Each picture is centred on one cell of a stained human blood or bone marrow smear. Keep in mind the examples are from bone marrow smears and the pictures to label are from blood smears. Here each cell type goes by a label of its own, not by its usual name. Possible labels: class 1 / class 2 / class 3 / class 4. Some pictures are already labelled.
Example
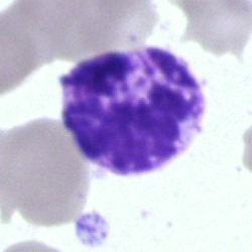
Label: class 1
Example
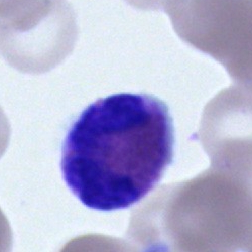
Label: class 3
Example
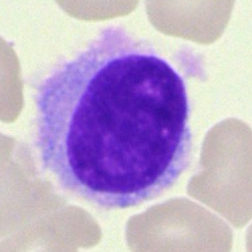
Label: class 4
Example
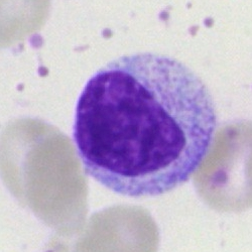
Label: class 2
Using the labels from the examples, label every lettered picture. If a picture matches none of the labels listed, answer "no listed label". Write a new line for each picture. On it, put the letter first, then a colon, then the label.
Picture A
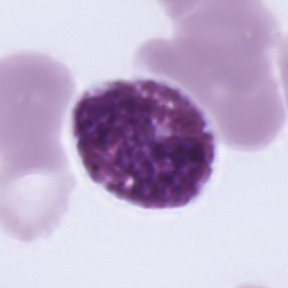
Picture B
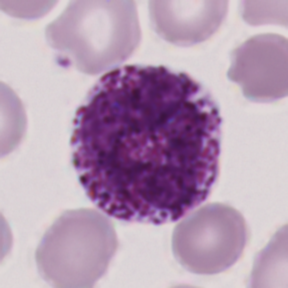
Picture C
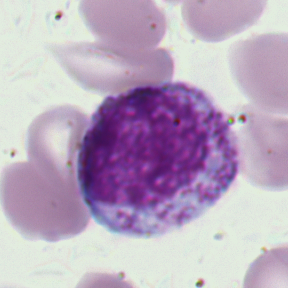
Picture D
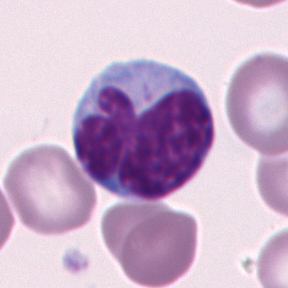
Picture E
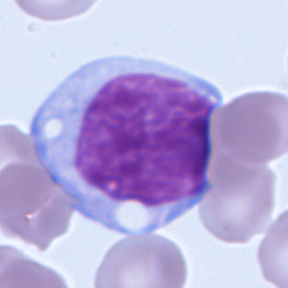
A: class 3
B: class 1
C: class 2
D: no listed label
E: no listed label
